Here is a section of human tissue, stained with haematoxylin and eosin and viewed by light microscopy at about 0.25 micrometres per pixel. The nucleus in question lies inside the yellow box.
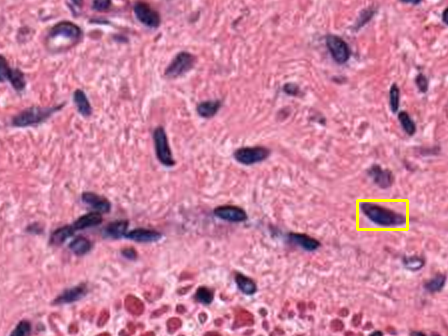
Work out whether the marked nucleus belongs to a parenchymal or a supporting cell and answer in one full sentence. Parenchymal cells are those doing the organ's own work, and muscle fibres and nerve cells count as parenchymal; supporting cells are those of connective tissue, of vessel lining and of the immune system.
In this field of view, a supporting cell owns the marked nucleus.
